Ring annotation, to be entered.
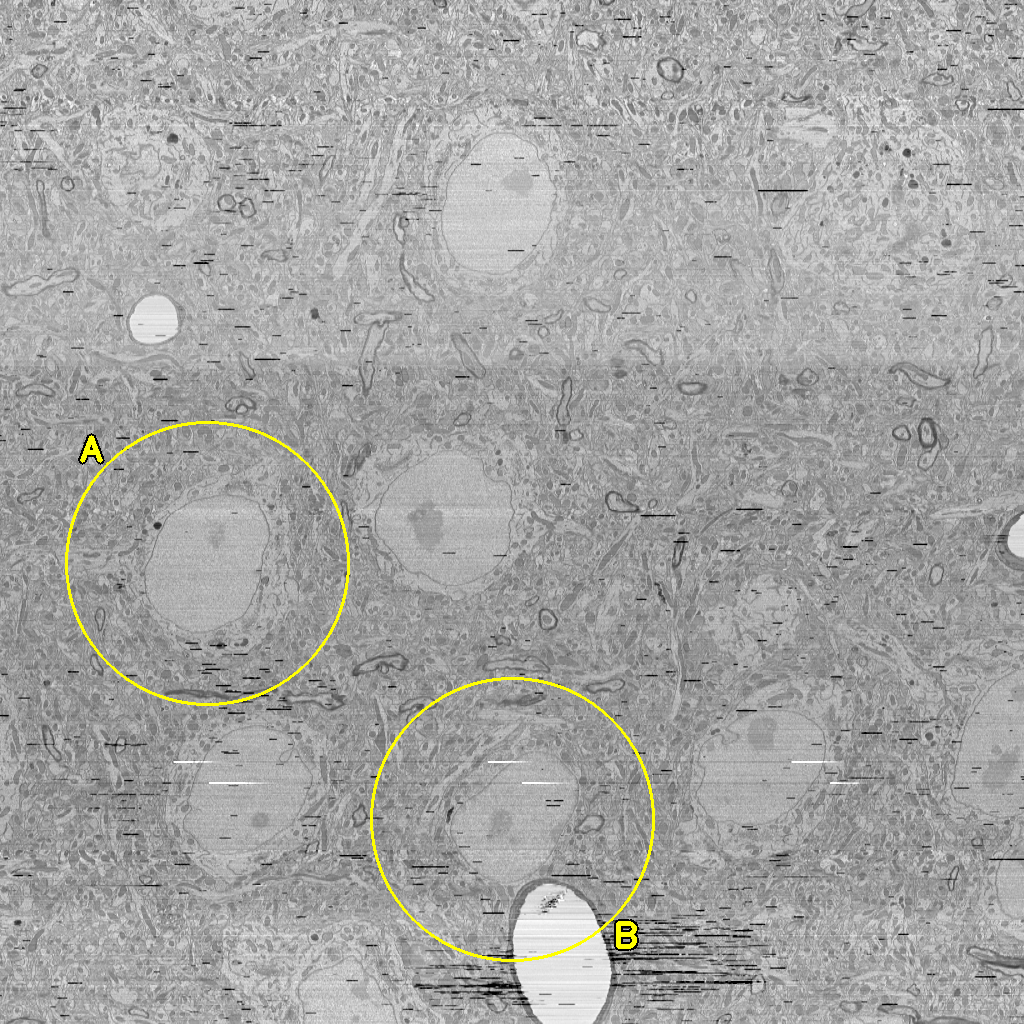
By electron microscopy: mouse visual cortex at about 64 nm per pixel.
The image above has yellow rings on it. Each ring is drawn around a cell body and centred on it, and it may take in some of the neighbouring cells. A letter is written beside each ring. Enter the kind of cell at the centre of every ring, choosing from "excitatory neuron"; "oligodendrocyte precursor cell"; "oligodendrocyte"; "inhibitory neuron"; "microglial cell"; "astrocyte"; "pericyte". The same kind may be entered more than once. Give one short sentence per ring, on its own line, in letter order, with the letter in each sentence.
The ring marked A is centred on an excitatory neuron.
The ring marked B is centred on an astrocyte.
